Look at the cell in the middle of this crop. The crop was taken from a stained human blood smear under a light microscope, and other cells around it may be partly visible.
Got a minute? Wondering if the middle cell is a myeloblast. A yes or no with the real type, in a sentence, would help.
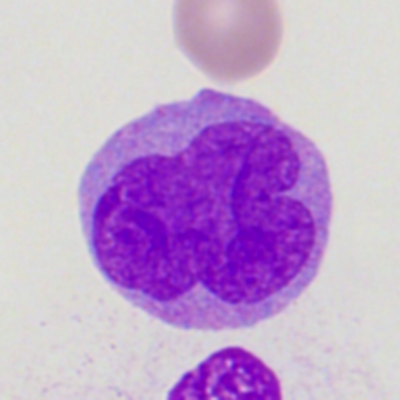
Yes, centred in the crop is a myeloblast.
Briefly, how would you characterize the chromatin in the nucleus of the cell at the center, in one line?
Check the chromatin: it is fine and not coarsely clumped.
